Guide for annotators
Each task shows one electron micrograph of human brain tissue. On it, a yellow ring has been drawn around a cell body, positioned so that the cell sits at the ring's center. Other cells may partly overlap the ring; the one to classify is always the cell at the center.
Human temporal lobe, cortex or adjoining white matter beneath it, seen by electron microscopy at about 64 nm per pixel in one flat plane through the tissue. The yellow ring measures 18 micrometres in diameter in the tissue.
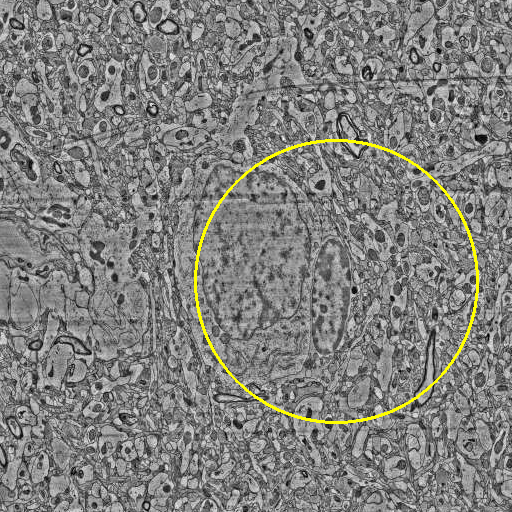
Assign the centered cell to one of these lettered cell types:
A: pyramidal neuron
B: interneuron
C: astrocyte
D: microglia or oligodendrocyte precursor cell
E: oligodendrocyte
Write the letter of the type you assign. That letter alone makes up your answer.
D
